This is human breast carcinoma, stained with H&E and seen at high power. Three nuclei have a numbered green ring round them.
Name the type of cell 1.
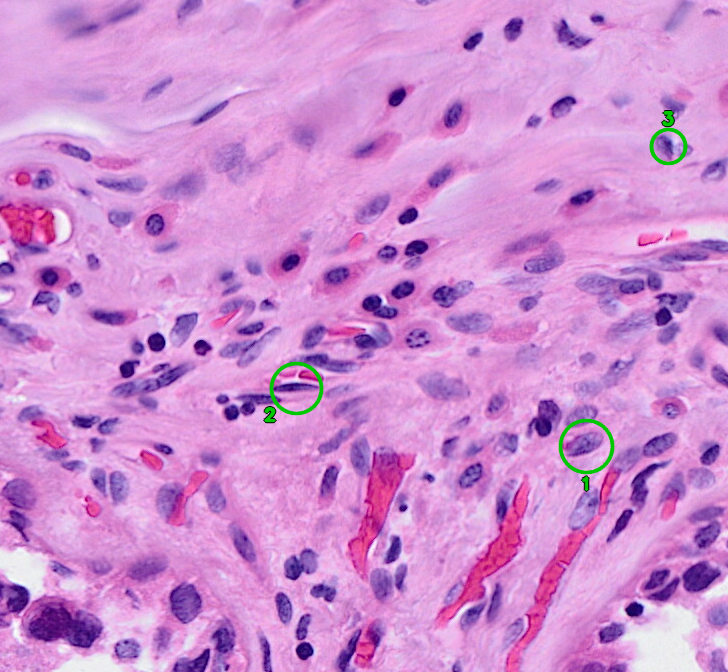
endothelial cell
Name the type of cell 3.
fibroblast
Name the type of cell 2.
endothelial cell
